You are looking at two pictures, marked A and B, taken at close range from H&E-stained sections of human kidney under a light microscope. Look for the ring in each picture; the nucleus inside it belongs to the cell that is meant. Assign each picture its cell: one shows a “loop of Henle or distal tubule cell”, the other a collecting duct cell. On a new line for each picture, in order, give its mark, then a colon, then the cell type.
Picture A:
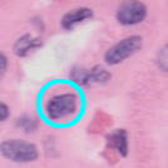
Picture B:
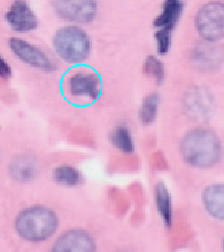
A: collecting duct cell
B: loop of Henle or distal tubule cell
